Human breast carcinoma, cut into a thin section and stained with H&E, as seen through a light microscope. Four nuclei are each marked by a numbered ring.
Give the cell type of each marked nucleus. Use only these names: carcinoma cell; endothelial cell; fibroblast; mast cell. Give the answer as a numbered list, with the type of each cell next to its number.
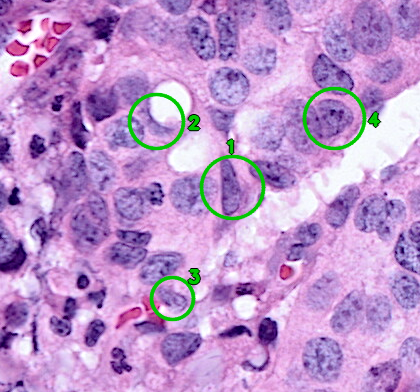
1. carcinoma cell
2. carcinoma cell
3. endothelial cell
4. carcinoma cell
